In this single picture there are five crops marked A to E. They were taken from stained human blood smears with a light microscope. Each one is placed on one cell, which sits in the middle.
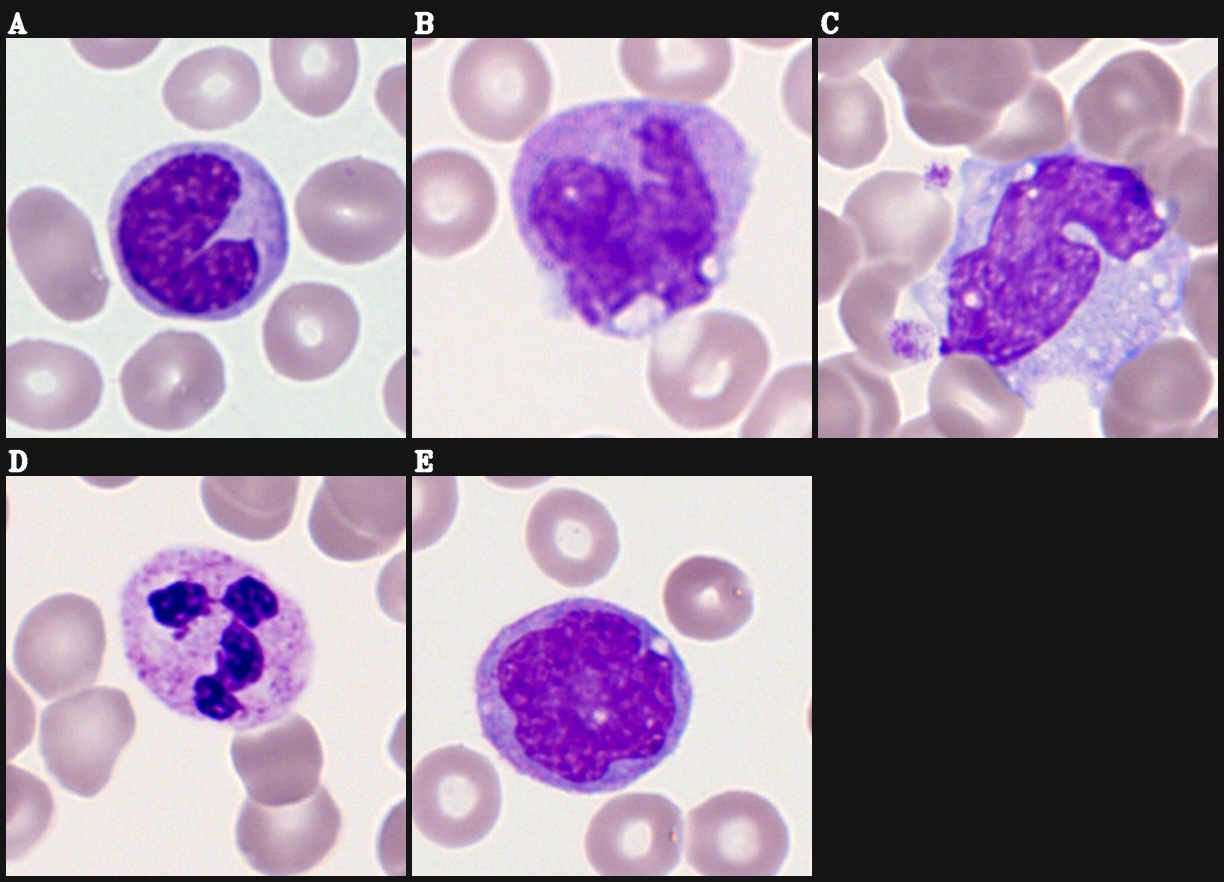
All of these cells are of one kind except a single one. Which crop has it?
D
